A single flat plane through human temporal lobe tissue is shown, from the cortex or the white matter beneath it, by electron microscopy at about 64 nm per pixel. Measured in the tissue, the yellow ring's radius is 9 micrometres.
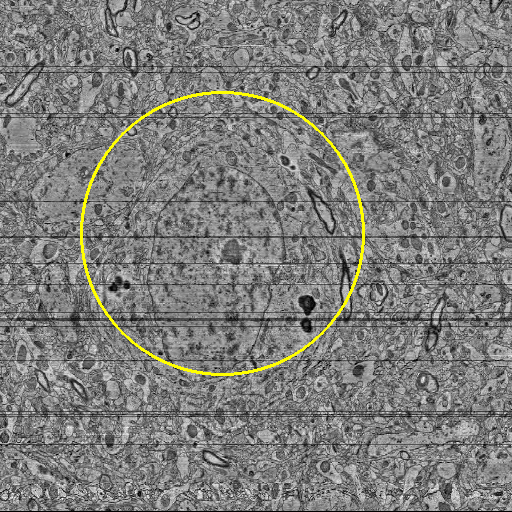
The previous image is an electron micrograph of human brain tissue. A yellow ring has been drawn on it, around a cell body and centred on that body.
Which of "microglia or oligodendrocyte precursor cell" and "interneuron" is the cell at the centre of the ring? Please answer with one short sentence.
The cell body at the centre of the ring belongs to an interneuron.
